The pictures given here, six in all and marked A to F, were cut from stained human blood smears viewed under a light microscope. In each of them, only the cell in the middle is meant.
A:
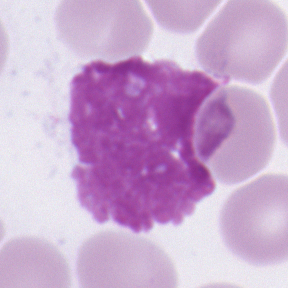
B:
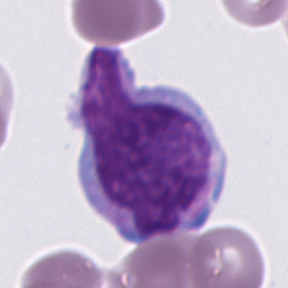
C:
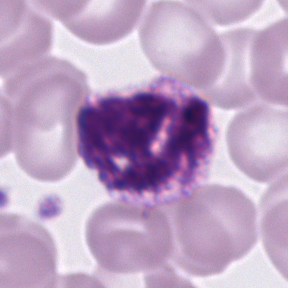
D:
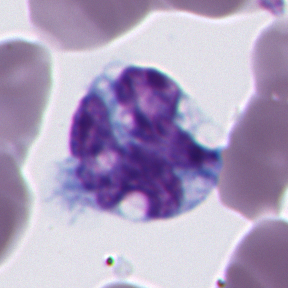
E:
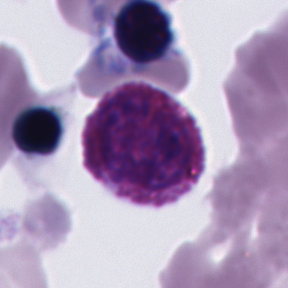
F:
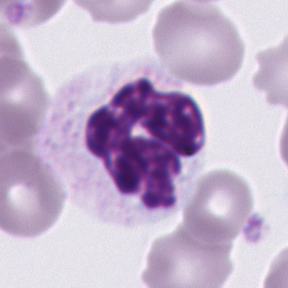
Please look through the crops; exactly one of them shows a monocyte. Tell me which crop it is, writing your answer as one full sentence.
It is the cell in crop D that is a monocyte.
